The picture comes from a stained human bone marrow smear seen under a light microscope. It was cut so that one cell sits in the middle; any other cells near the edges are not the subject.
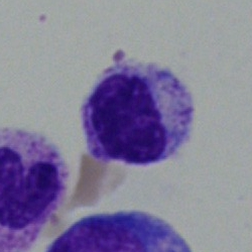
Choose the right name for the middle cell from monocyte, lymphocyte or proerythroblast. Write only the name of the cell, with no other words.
lymphocyte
